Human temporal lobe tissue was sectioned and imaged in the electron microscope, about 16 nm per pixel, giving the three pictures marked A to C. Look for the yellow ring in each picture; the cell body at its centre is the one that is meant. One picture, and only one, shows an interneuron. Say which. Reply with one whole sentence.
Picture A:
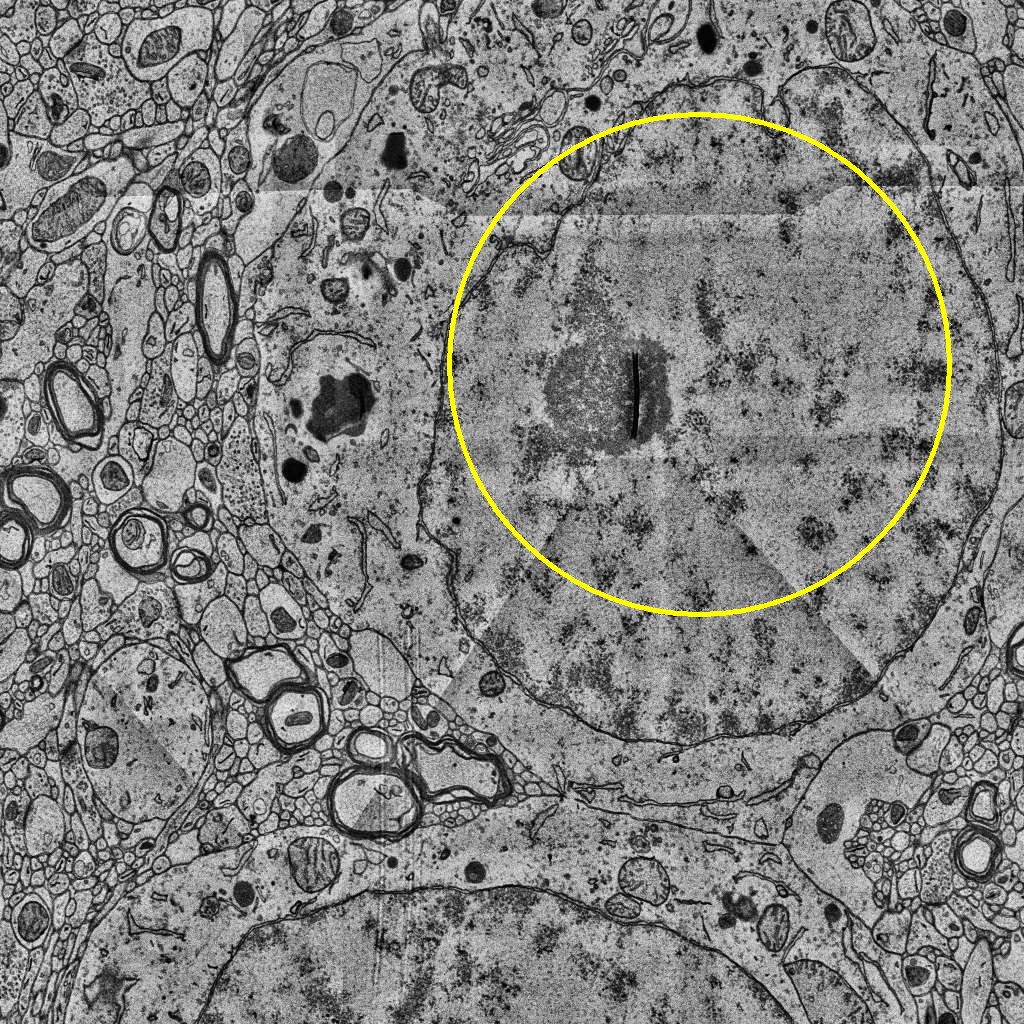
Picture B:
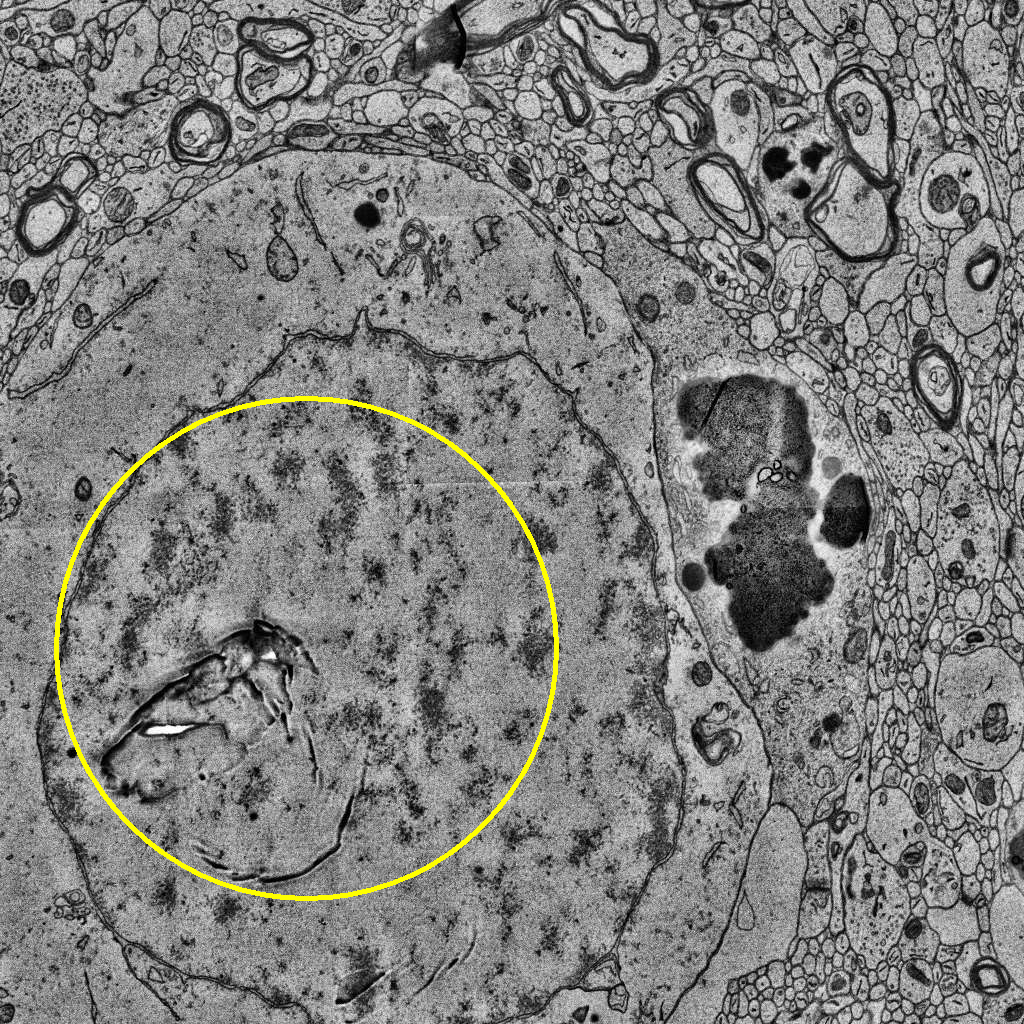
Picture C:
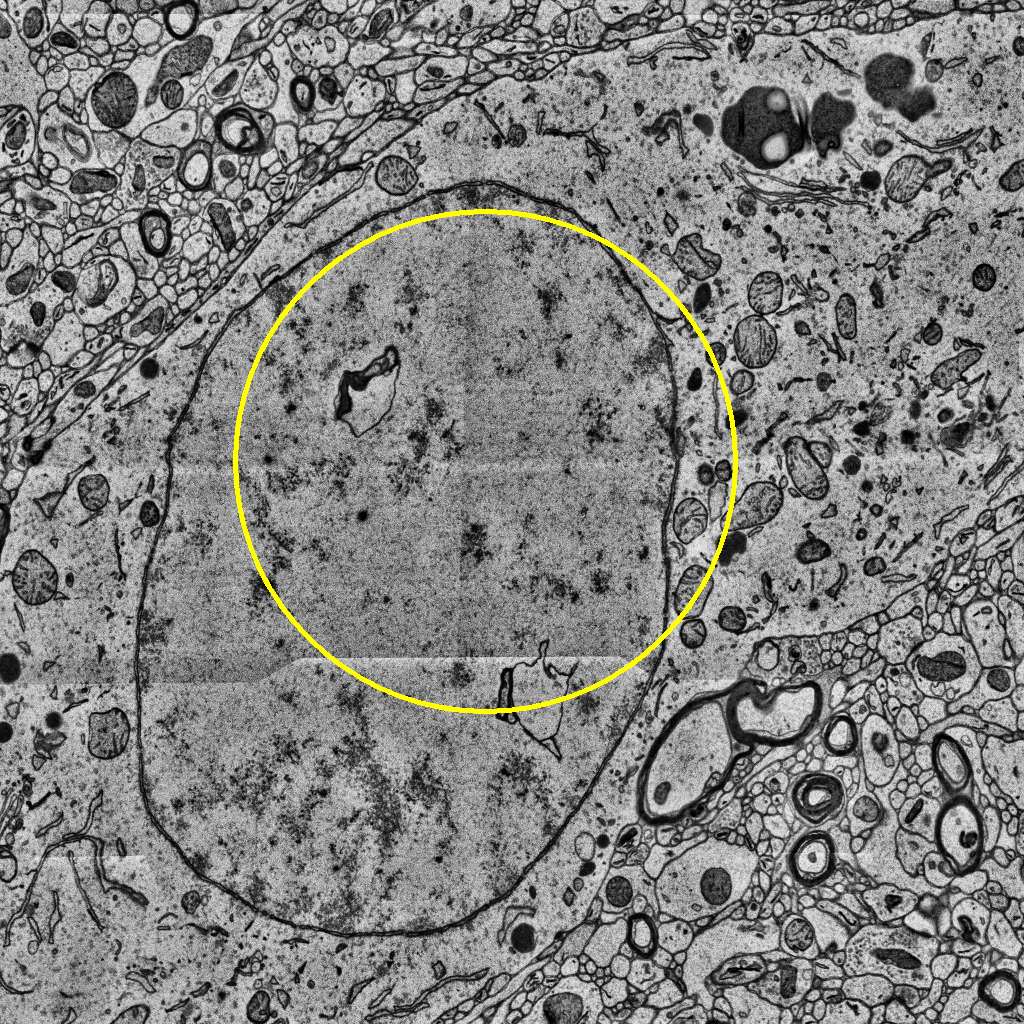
Picture B is the one that shows the interneuron.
